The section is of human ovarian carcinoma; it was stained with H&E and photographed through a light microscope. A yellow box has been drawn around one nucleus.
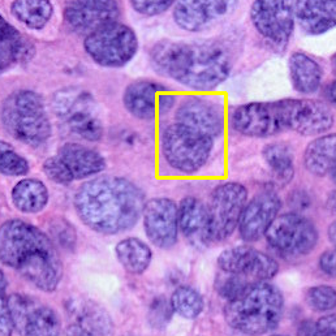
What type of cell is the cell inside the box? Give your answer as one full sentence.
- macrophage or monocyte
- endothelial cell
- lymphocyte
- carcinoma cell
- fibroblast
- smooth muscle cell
The cell meant here is a carcinoma cell.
